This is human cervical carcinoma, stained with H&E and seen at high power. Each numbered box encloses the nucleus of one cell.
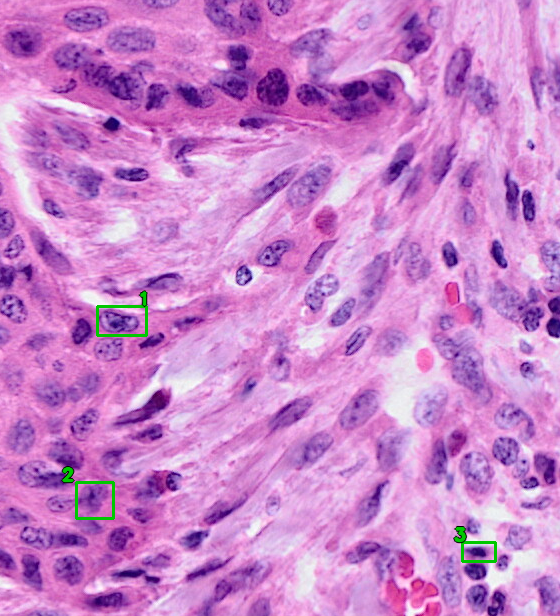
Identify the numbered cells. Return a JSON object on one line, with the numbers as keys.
{"1": "squamous carcinoma cell", "2": "squamous carcinoma cell", "3": "lymphocyte"}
